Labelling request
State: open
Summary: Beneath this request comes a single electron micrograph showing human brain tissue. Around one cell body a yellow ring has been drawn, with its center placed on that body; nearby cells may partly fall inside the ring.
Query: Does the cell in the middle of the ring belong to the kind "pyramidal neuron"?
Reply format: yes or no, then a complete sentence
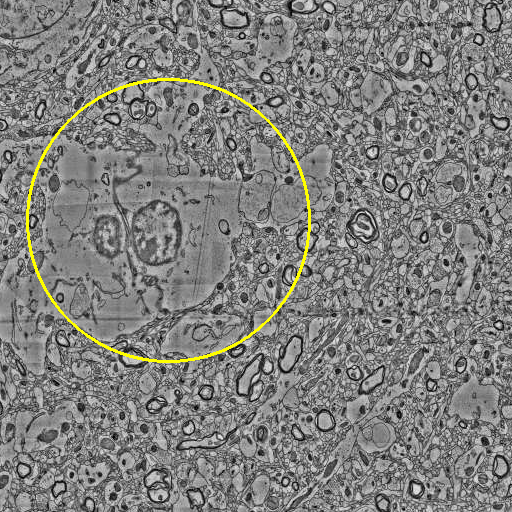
No, the cell sitting at the center of the ring in this picture is of a different kind.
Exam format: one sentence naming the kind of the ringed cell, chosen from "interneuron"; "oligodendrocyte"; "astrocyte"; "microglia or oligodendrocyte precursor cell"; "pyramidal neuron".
That cell in the ring is an astrocyte instead.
